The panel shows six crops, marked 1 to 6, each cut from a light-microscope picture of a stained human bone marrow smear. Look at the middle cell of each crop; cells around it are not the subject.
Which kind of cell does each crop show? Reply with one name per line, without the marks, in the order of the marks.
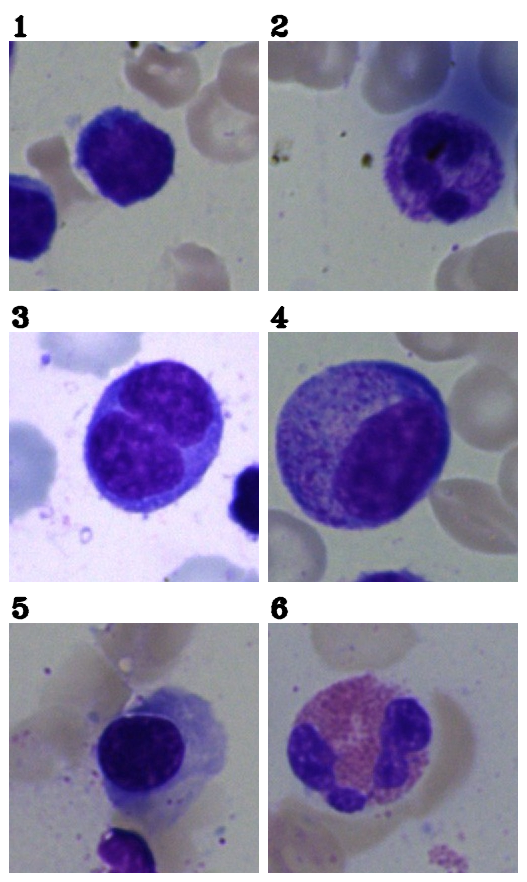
lymphocyte
neutrophil
blast
promyelocyte
normoblast
eosinophil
